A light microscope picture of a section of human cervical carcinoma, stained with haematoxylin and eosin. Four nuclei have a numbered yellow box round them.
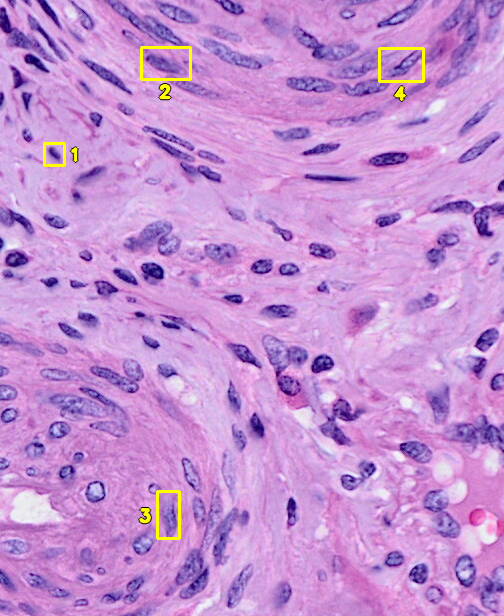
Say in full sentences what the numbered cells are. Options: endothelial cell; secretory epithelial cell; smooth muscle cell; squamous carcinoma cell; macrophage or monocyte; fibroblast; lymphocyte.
Cell 1 is a fibroblast, cell 2 is a smooth muscle cell, cell 3 is a smooth muscle cell and cell 4 is a smooth muscle cell.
